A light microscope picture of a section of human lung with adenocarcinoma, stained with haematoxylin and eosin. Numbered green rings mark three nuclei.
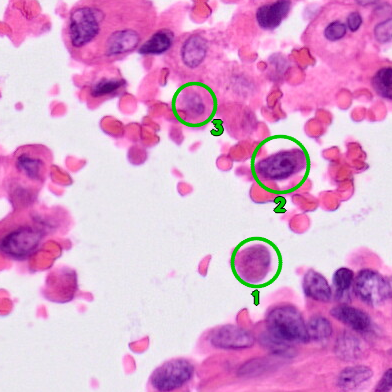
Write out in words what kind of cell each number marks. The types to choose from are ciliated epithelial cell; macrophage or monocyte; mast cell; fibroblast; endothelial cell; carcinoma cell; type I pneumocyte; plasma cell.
Cells 1 and 2 are carcinoma cells. Cell 3 is a macrophage or monocyte.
